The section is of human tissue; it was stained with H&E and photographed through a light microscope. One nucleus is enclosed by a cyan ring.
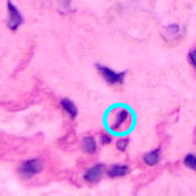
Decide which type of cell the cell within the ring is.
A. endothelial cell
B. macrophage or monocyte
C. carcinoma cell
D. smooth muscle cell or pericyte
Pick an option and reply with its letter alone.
D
